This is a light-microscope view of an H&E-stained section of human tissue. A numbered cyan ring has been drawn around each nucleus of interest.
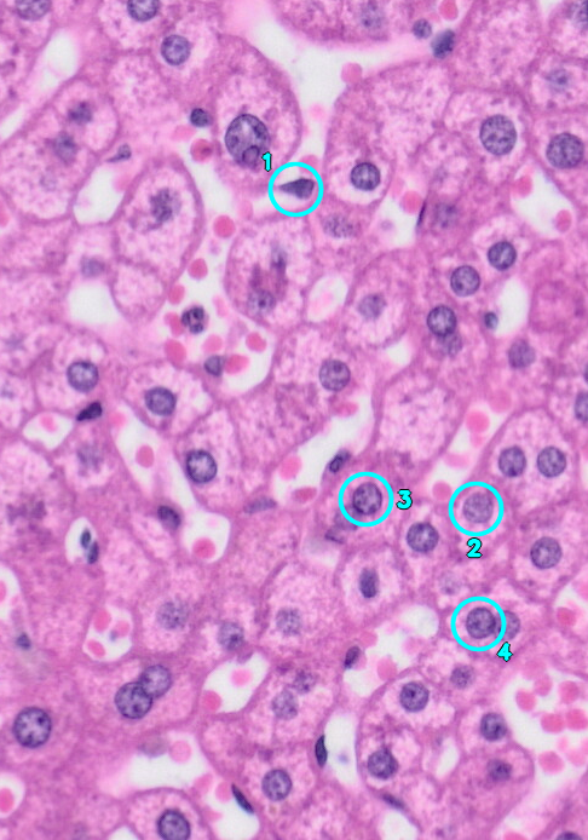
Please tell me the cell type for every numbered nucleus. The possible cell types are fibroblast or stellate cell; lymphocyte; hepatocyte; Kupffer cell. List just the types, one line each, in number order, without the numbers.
Kupffer cell
hepatocyte
hepatocyte
hepatocyte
